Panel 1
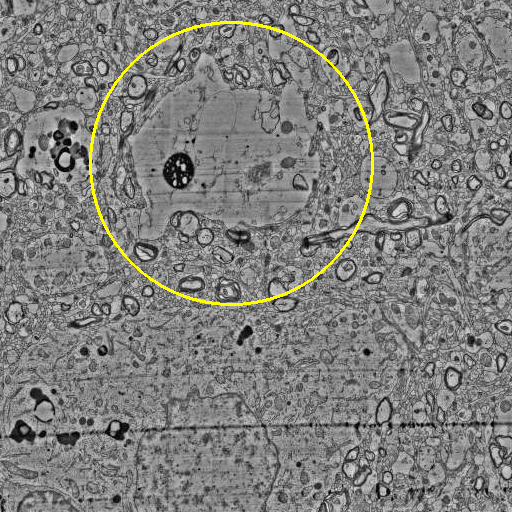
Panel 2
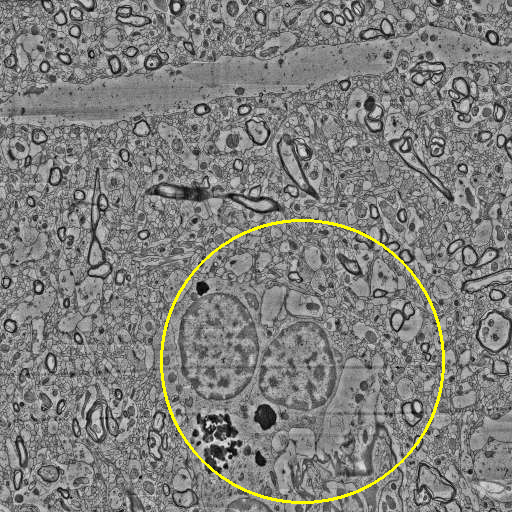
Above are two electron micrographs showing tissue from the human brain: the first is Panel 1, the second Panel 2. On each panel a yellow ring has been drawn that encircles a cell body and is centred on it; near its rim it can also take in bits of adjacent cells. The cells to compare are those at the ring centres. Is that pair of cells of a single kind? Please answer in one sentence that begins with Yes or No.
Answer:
No, the ring-centred cells of Panel 1 and Panel 2 belong to two kinds.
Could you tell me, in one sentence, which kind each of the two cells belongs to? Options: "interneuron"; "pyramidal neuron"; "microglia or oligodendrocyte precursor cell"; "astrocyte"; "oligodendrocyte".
At the centre of the first ring sits an astrocyte, and at the centre of the second sits an oligodendrocyte.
